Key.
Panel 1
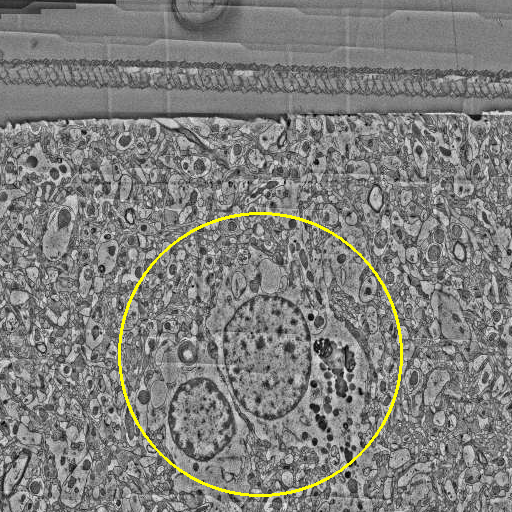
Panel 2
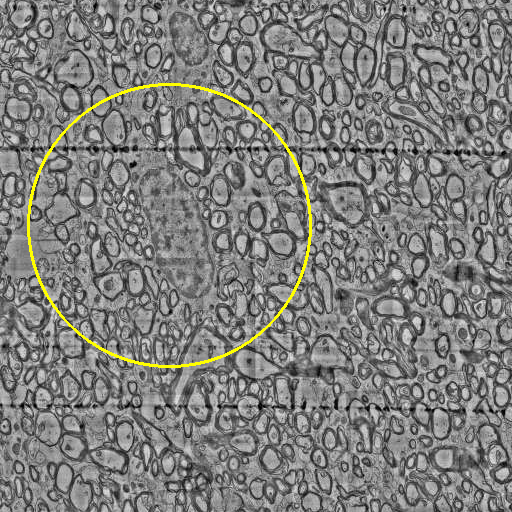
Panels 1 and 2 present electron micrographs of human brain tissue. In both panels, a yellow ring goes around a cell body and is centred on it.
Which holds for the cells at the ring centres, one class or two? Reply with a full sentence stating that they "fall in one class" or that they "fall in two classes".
Taken together, the ring-centre cells of the two panels fall in two classes.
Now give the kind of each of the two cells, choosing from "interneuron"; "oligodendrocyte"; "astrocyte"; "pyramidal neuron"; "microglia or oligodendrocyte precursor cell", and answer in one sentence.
The cell in the first picture is an astrocyte, and the cell in the second is an oligodendrocyte.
